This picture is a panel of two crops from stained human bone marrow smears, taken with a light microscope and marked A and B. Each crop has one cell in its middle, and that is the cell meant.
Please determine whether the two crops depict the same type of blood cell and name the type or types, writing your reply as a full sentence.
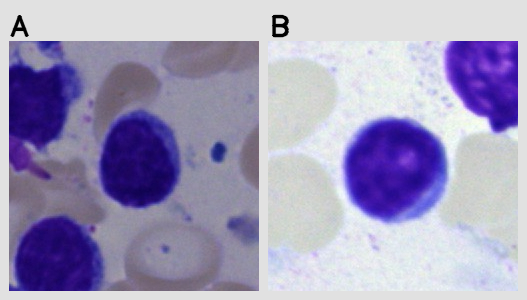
Yes, in both crops, lymphocytes are the cells at the middle.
